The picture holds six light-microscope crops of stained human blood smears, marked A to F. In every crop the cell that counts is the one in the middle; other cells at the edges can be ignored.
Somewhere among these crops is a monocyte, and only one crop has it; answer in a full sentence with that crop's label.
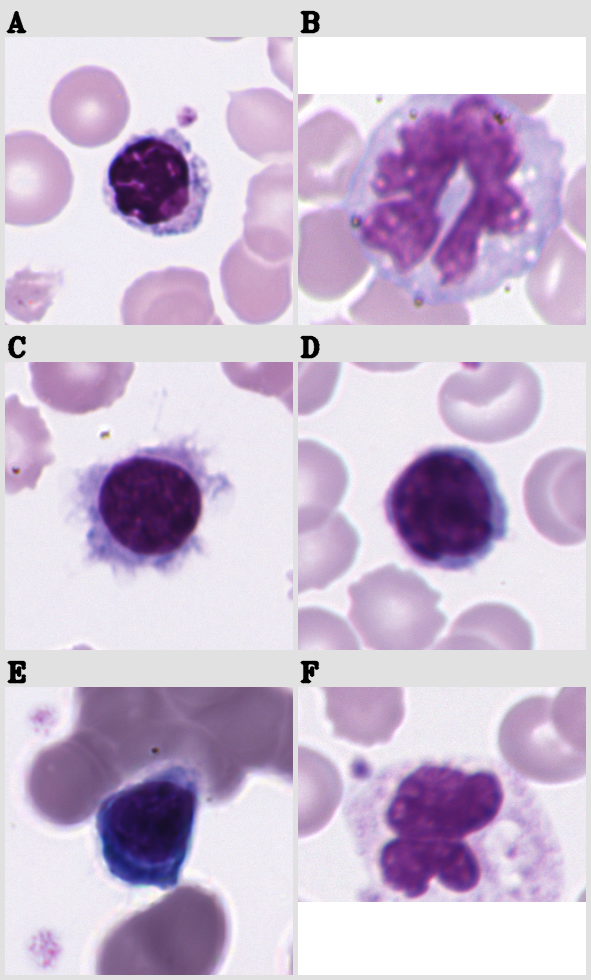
The one that shows a monocyte is crop B.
